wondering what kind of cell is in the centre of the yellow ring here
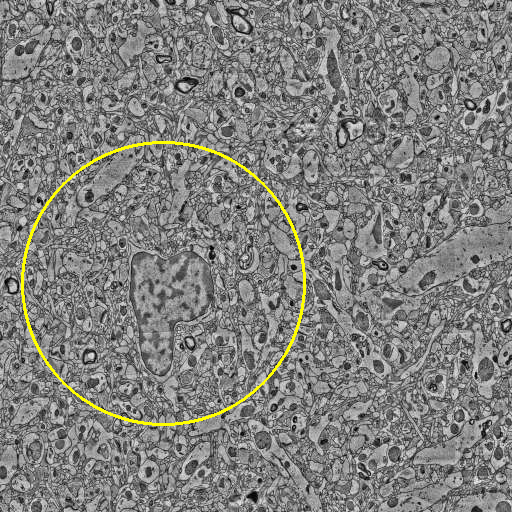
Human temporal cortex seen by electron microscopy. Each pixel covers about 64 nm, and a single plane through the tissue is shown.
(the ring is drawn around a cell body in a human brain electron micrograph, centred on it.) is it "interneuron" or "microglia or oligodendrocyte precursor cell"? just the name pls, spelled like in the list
microglia or oligodendrocyte precursor cell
